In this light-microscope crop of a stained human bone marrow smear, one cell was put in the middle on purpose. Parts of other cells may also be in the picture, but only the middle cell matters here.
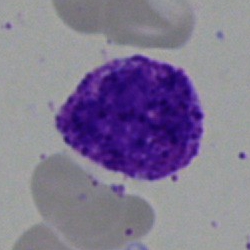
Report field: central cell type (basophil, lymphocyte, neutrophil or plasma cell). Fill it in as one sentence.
At the middle of the frame sits a basophil.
